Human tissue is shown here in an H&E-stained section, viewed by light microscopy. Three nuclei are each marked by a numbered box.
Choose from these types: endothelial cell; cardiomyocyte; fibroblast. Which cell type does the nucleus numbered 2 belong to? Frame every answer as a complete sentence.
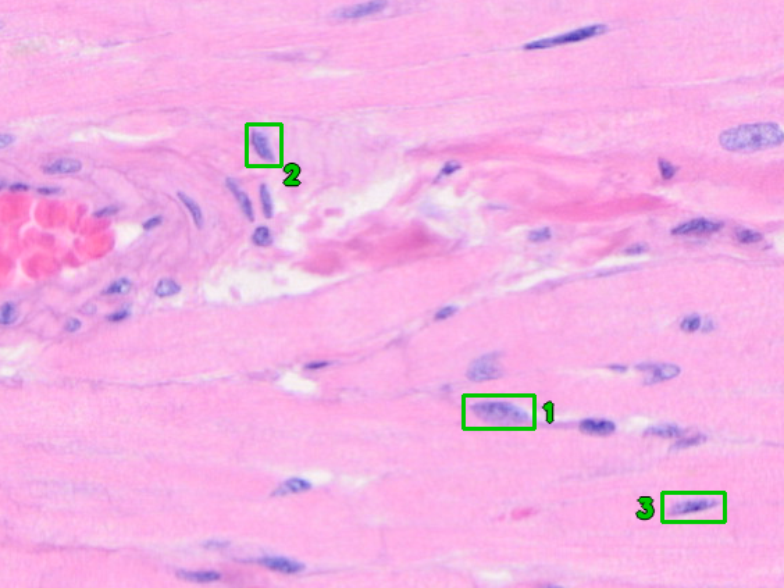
Cell 2 in the field is a fibroblast.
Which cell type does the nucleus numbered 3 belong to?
The cell pointed out as number 3 is an endothelial cell.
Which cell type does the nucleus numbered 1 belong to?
The nucleus marked 1 is the nucleus of a fibroblast.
